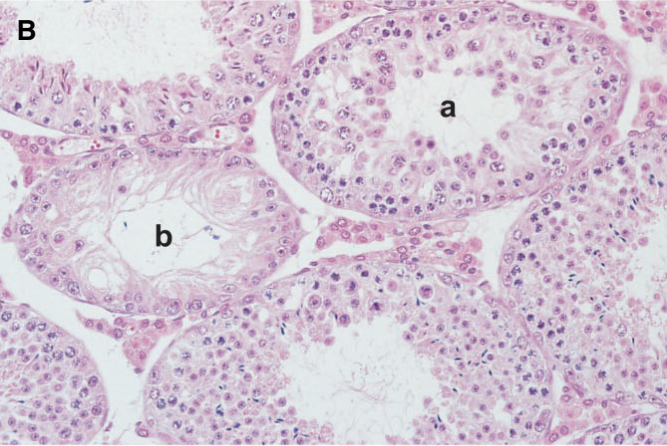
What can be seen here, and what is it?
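These are cross sections of seminiferous tubules of the testis, several with a disturbed epithelium. One tubule at the left is lined only by a thin layer of pale cells with few dark nuclei, and its wide lumen holds loose pale wisps, a picture of a tubule that has lost most germ cells. Another tubule at the upper right keeps rows of round nuclei but shows an irregular, gappy lining and a ragged lumen without the usual orderly layers. Other tubules still show many layers of round germ cells around the lumen. Between tubules lie small vessels with red blood cells and interstitial cells.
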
